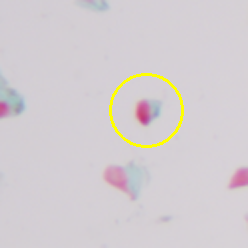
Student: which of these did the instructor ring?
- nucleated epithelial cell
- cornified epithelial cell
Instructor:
The cell I ringed is a nucleated epithelial cell.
